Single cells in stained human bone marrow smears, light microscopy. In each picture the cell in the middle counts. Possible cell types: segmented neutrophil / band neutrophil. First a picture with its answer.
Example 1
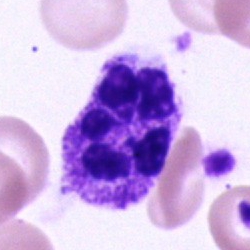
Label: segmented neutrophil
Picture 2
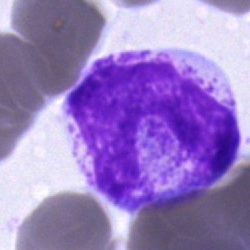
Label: band neutrophil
